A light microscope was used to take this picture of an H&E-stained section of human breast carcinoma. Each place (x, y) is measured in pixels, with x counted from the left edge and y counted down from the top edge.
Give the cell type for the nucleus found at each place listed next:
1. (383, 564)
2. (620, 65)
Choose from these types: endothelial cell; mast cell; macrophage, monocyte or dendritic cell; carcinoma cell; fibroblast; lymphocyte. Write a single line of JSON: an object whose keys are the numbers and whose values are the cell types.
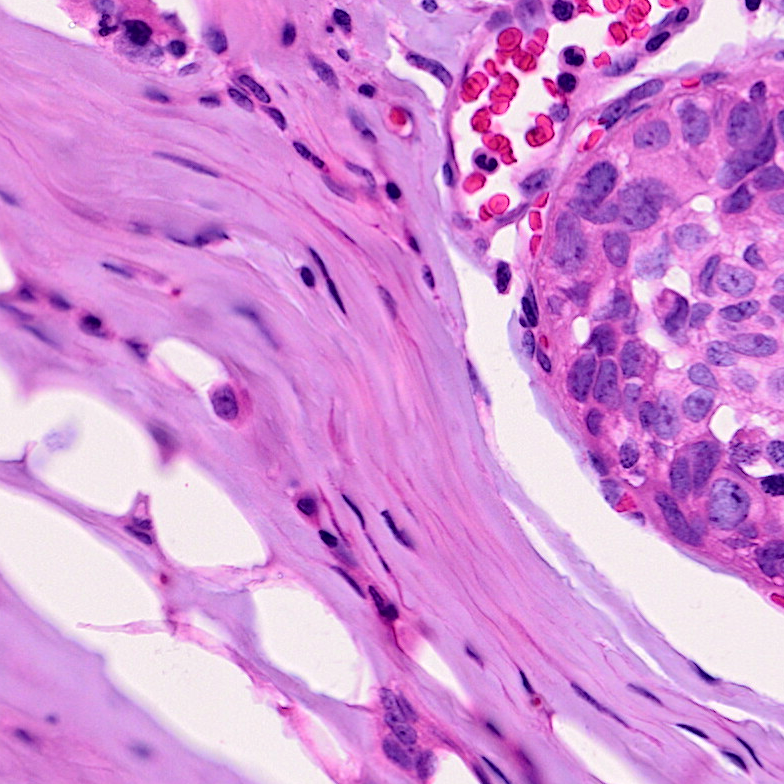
{"1": "fibroblast", "2": "endothelial cell"}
